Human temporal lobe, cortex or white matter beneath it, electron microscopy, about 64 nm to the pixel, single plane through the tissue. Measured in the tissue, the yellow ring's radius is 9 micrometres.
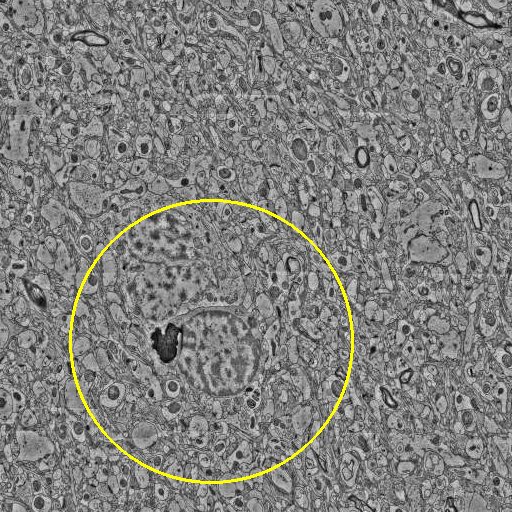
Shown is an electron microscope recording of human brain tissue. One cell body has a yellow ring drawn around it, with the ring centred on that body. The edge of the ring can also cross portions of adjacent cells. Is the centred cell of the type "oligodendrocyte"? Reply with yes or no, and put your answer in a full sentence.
Yes, in the picture, the cell on which the ring is centred has this type.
